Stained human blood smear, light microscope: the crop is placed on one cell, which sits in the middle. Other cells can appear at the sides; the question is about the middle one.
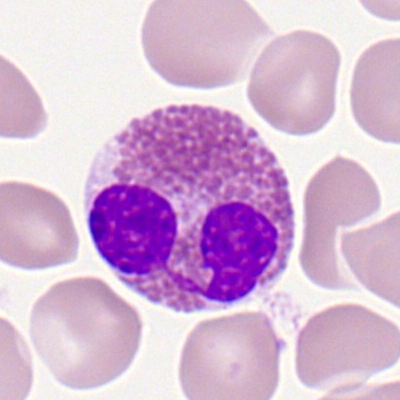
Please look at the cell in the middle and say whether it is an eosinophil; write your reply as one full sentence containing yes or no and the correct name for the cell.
Yes, the cell found at the centre of the crop is an eosinophil.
